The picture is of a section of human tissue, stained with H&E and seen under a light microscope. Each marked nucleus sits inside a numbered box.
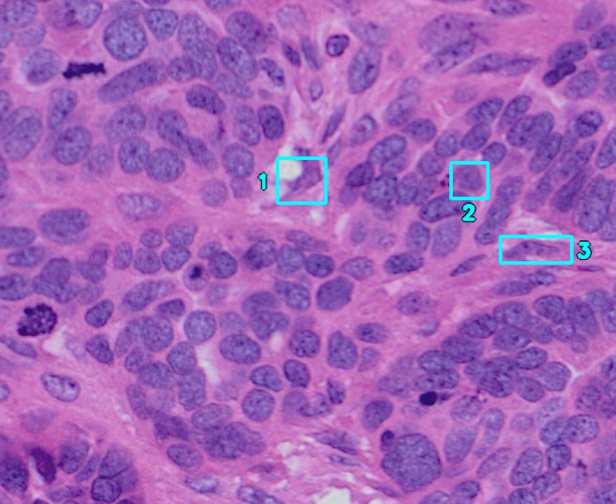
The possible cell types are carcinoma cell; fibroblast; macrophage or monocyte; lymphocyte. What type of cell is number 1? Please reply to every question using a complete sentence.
The identity of cell 1 is that of a fibroblast.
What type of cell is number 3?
Heads up, the cell numbered 3 is a fibroblast.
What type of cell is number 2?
As for number 2, that cell is a carcinoma cell.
